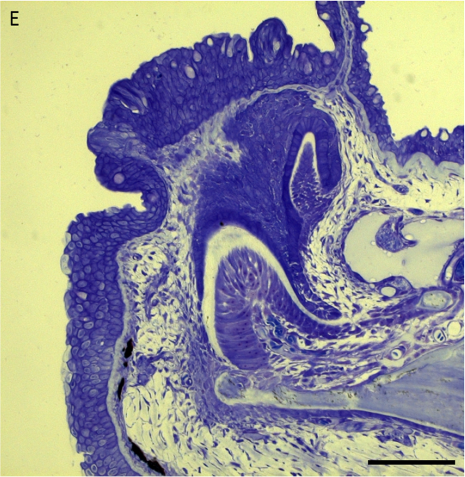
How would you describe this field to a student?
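A tooth family in the jaw is seen in section, with a large cone-shaped tooth in the lower part whose interior is filled with closely packed, elongated cells stained deep blue. Above and beside it lies a dark-staining mass of dental epithelium enclosing a smaller, pointed developing tooth with a pale rim. A thick stratified surface epithelium with many pale, rounded cells covers the upper and left borders. Loose connective tissue with spindle-shaped cells surrounds the tooth family, with pale bone at the lower right.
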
